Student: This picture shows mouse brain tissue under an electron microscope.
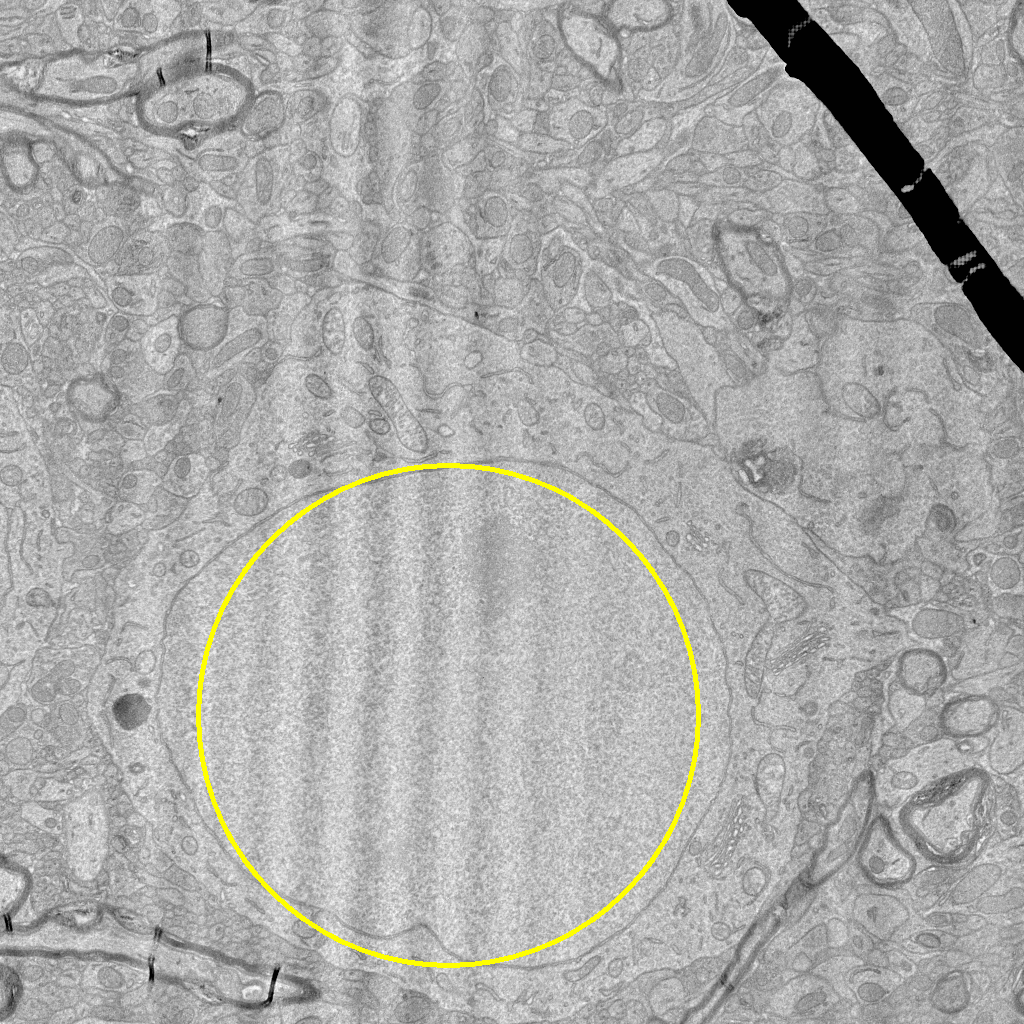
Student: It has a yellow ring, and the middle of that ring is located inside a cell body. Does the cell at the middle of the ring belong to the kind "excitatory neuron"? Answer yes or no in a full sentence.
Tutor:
Yes, the cell at the middle of the ring in this picture is of that kind.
